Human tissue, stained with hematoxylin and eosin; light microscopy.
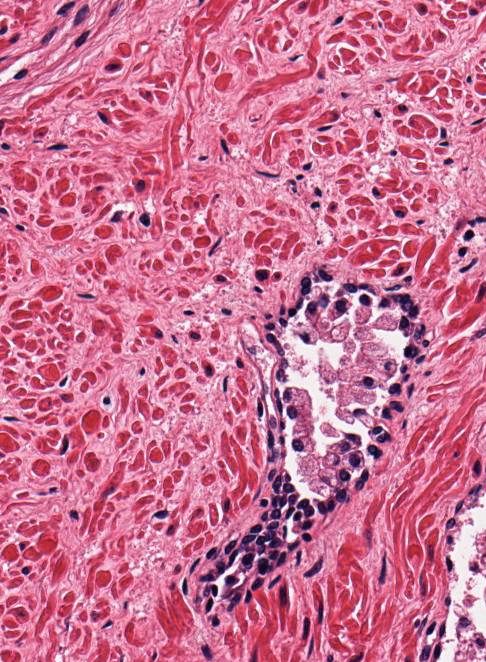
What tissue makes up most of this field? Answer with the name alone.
fibromuscular stroma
